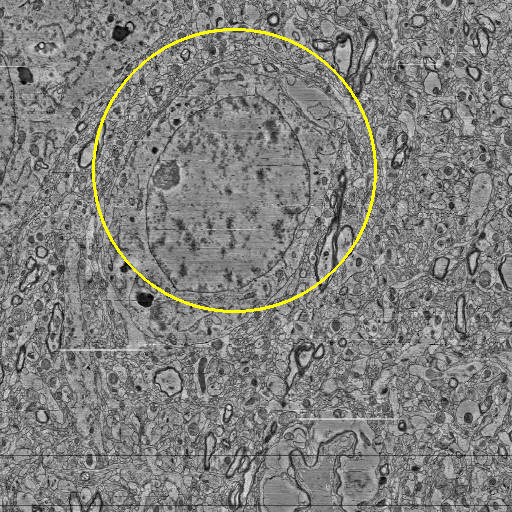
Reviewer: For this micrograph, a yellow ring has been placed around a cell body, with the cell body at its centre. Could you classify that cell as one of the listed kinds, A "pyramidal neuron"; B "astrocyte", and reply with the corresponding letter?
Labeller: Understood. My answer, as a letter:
A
